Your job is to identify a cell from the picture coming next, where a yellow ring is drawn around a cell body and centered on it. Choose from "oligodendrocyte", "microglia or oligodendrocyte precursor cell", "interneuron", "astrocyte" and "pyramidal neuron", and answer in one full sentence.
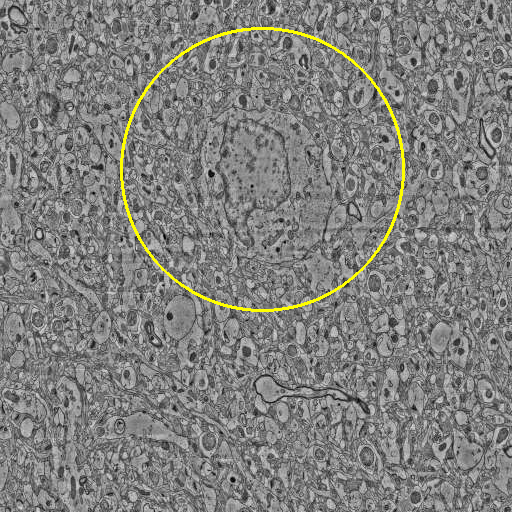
Centered in the yellow ring of the picture is the body of an interneuron.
